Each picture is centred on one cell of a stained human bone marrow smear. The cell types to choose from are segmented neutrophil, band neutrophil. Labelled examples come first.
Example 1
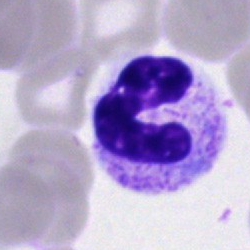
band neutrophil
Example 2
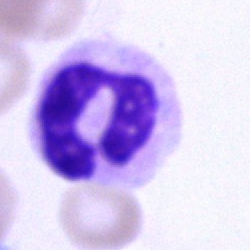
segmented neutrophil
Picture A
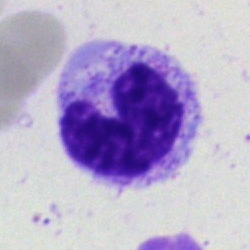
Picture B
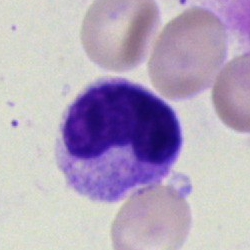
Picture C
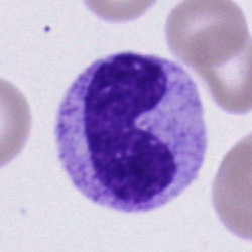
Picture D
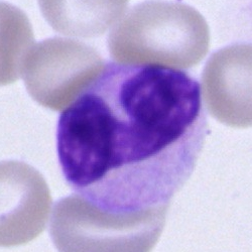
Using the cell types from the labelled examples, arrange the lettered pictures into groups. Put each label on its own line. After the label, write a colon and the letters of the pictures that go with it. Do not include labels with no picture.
band neutrophil: A, B, C, D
